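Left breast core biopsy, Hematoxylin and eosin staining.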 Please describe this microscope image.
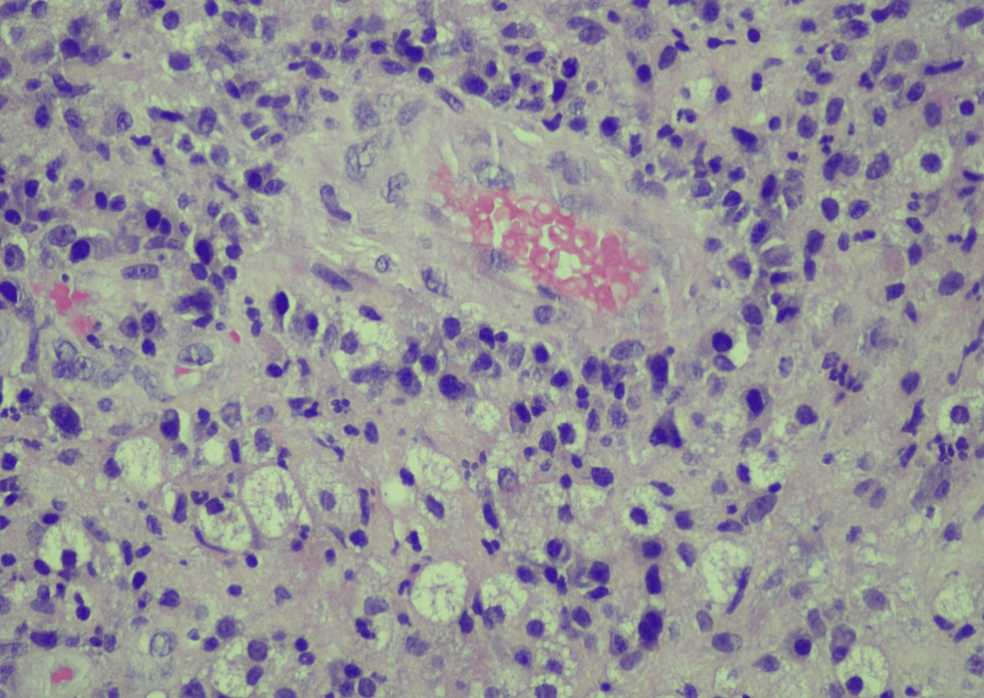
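A blood vessel packed with red cells lies at the centre, surrounded by a dense infiltrate of small lymphocytes with round dark nuclei, with larger histiocytes and some elongated spindle cells among them. In the lower part, large foamy macrophages with pale, finely vacuolated cytoplasm and small nuclei sit scattered among the inflammatory cells.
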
